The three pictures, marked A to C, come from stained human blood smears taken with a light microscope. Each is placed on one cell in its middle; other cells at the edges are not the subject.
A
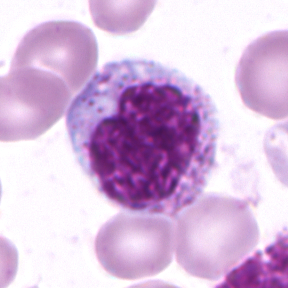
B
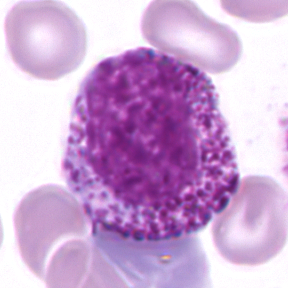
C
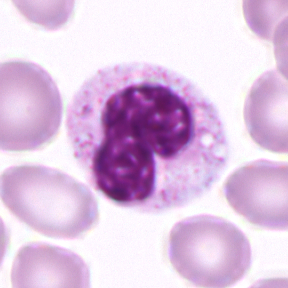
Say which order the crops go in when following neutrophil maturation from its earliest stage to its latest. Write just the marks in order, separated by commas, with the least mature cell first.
B, A, C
